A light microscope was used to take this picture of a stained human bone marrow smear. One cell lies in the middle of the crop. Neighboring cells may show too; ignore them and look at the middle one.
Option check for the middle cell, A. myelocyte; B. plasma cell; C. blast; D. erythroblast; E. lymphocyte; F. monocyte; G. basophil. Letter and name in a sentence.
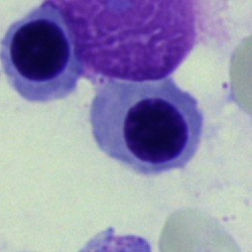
Identification: the cell in the middle is an erythroblast, matching option D.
